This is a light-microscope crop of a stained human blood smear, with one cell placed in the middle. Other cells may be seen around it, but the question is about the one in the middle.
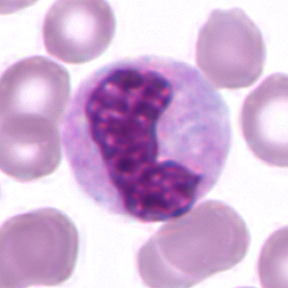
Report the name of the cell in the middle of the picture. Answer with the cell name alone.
band neutrophil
